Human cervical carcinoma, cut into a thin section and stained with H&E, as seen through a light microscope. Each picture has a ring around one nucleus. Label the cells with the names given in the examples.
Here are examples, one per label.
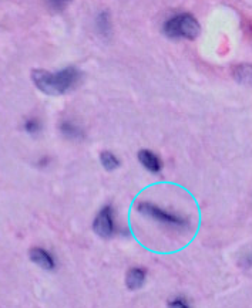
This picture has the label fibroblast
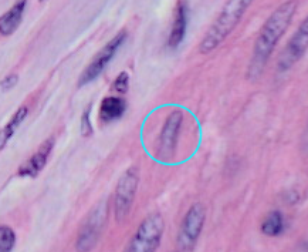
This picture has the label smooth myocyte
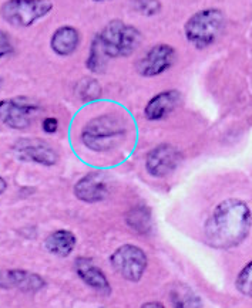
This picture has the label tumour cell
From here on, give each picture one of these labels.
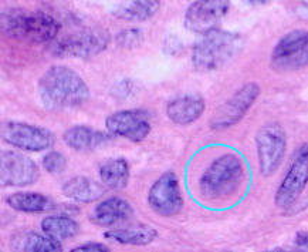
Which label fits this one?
tumour cell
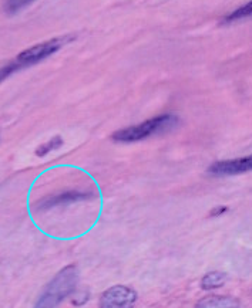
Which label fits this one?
fibroblast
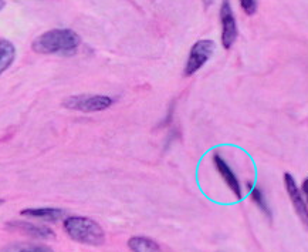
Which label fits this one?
fibroblast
